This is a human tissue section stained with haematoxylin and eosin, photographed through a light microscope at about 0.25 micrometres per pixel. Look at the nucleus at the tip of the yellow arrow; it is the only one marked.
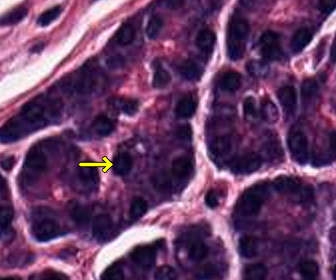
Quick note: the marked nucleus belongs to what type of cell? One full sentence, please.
The mark indicates the nucleus of a pancreatic acinar cell.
